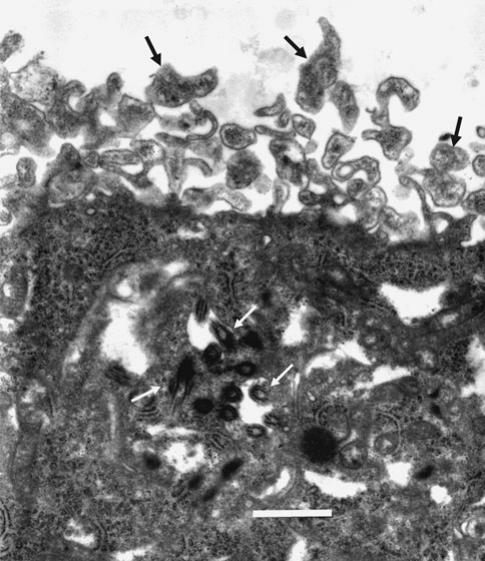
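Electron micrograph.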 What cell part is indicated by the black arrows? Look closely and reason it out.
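Many membrane-bound projections rise from the upper cell surface into a pale space. The marked projections are swollen and bulbous at their tips, with narrower stalks. Each projection holds grey, finely granular cytoplasm. The answer: golf-club-shaped microvilli.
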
